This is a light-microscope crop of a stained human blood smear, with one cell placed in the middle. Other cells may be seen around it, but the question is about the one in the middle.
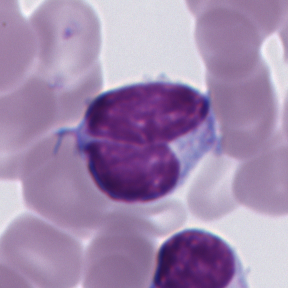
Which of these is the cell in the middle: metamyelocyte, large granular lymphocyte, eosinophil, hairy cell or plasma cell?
large granular lymphocyte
